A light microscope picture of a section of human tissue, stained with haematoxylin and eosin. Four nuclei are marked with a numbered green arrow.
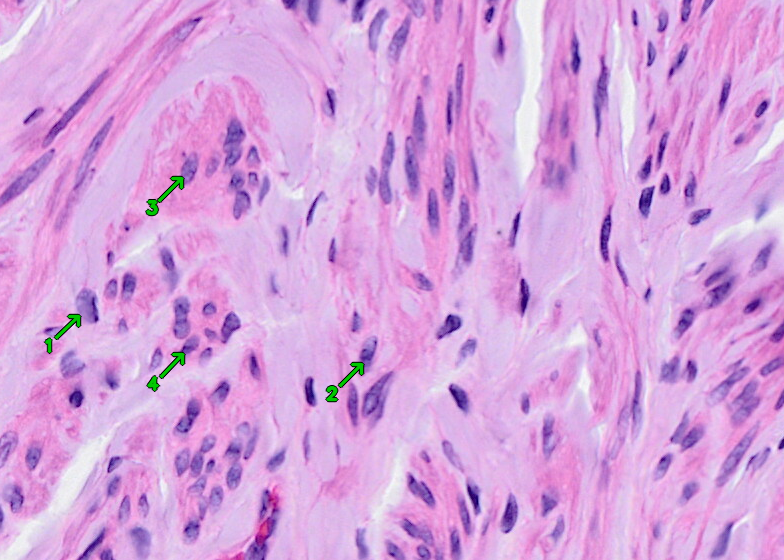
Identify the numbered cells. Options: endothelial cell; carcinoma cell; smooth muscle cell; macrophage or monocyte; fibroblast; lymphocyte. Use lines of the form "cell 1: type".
cell 1: fibroblast
cell 2: smooth muscle cell
cell 3: smooth muscle cell
cell 4: smooth muscle cell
